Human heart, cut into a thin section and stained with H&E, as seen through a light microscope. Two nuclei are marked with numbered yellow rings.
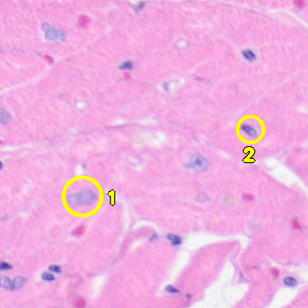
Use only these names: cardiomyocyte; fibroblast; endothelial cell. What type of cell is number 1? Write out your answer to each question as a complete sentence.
The nucleus marked 1 is the nucleus of a cardiomyocyte.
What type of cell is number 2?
The cell numbered 2 represents an endothelial cell.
